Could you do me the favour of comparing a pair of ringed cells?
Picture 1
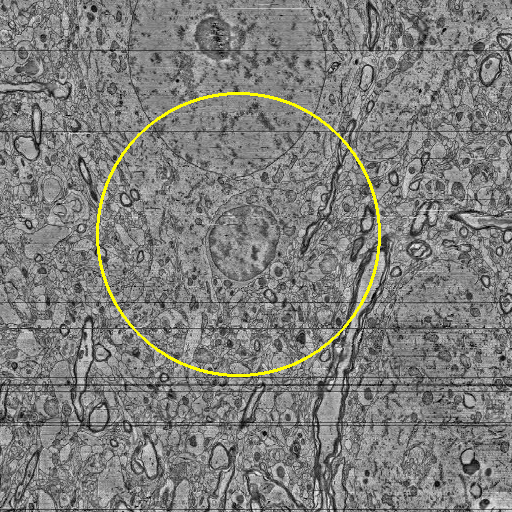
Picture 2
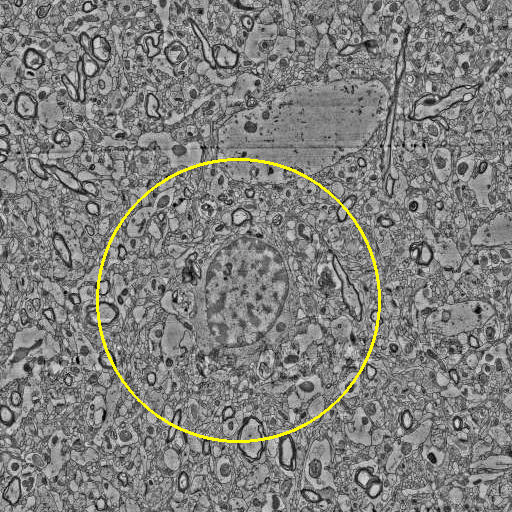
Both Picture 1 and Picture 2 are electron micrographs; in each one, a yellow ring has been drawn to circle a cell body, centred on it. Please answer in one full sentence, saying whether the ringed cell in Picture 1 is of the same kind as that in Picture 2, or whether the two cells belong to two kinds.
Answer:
The ringed cell in Picture 1 is of the same kind as that in Picture 2.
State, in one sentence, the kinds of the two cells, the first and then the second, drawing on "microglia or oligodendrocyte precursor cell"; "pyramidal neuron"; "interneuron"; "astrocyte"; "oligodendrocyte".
The first and the second cell are each an oligodendrocyte.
